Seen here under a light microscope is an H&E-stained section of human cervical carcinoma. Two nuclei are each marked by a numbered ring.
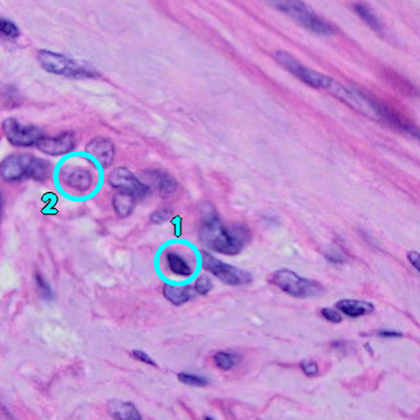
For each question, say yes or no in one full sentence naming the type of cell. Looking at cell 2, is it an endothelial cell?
Yes, cell 2 among the marked cells is an endothelial cell.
